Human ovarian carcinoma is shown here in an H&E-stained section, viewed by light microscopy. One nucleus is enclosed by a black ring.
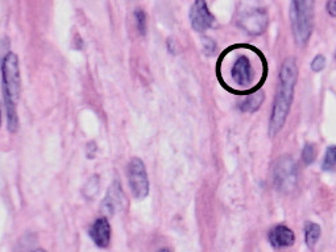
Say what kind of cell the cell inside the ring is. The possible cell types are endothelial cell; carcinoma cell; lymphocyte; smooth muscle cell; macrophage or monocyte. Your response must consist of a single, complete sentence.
Placed in its cell category, the cell inside the ring is a lymphocyte.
